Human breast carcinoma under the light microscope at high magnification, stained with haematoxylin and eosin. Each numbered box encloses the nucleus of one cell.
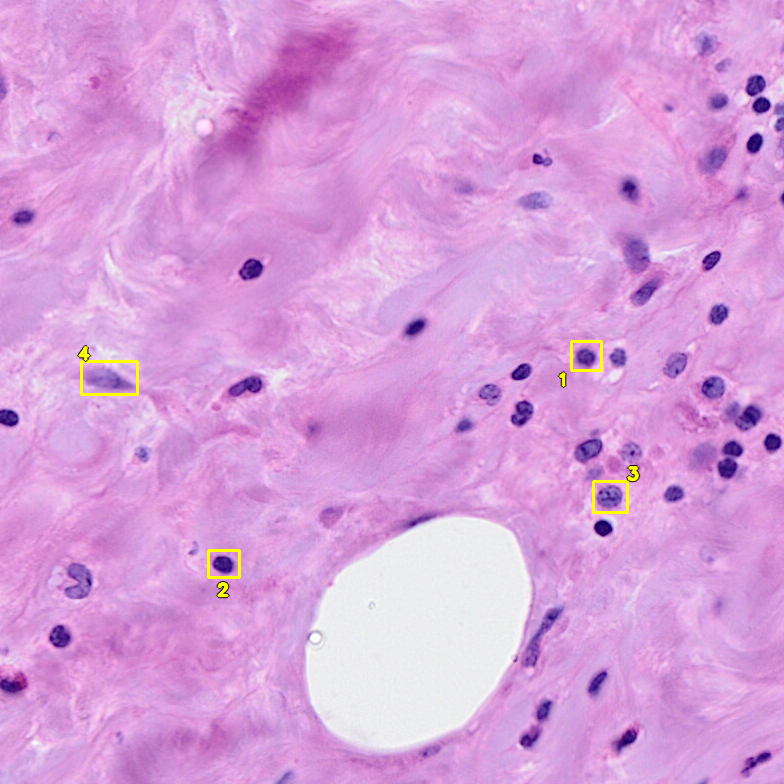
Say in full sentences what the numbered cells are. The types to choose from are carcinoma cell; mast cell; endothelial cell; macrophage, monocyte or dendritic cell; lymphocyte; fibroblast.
Cells 1 and 2 are lymphocytes. Cell 3 is a mast cell. Cell 4 is a fibroblast.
